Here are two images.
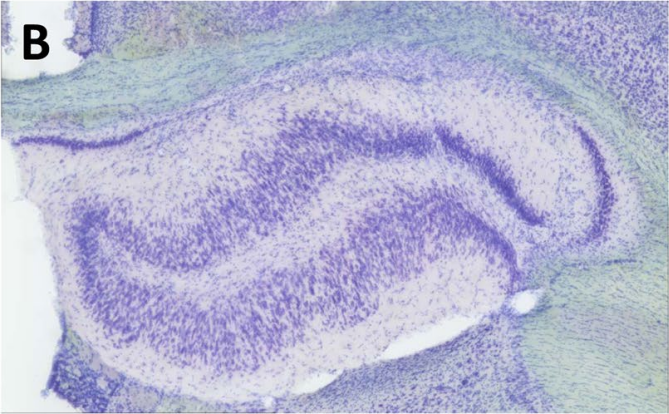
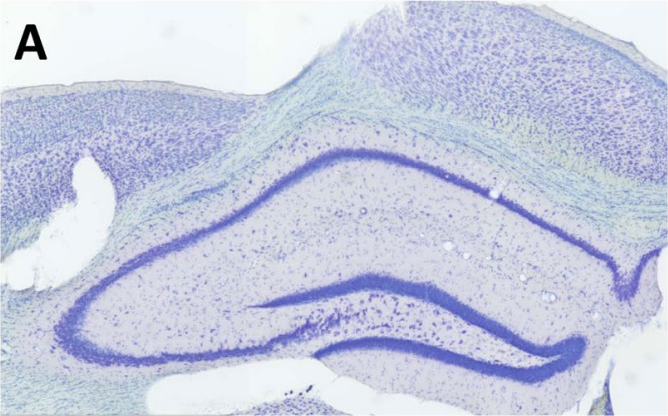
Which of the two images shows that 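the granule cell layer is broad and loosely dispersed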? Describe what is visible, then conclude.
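First image: the V-shaped inner cell band is wide, loose and streaked radially. Second image: the V-shaped inner cell band is a thin, compact, sharply bordered line.
The first image.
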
